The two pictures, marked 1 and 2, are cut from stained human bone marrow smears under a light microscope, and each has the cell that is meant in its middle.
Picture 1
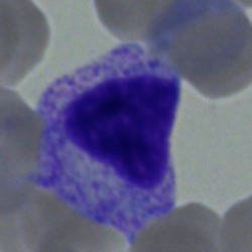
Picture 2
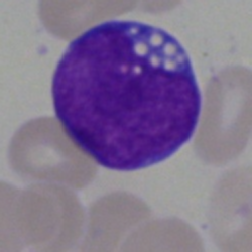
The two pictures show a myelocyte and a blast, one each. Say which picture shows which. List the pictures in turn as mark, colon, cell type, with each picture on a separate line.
1: myelocyte
2: blast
